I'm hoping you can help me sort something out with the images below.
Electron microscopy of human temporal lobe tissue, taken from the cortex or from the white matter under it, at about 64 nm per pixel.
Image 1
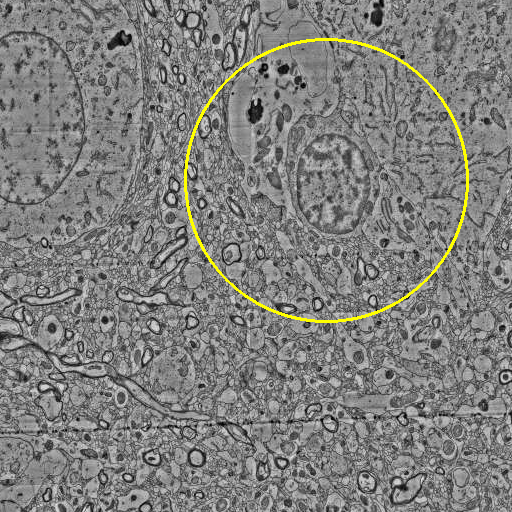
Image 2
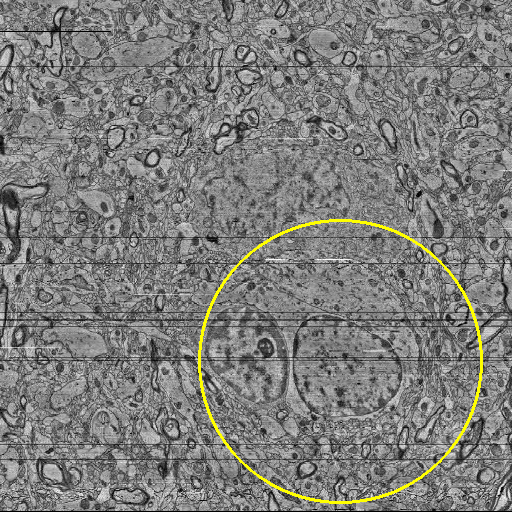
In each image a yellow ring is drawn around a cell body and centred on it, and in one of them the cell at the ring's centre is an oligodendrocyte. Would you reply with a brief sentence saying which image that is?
In Image 1, the cell at the centre of the ring is the one you asked about.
